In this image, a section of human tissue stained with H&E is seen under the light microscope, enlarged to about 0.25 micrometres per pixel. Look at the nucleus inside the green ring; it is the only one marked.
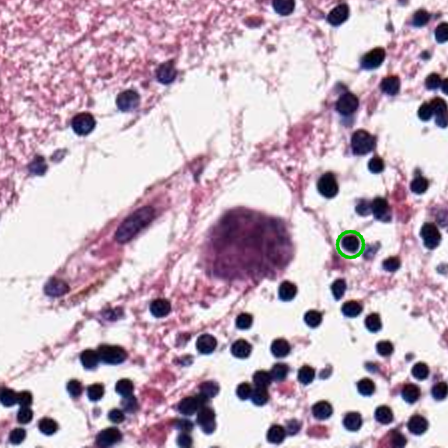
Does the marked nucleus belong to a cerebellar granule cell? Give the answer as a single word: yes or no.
yes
